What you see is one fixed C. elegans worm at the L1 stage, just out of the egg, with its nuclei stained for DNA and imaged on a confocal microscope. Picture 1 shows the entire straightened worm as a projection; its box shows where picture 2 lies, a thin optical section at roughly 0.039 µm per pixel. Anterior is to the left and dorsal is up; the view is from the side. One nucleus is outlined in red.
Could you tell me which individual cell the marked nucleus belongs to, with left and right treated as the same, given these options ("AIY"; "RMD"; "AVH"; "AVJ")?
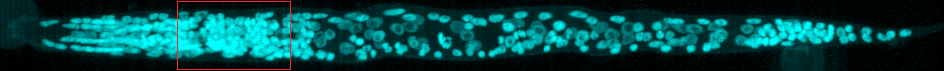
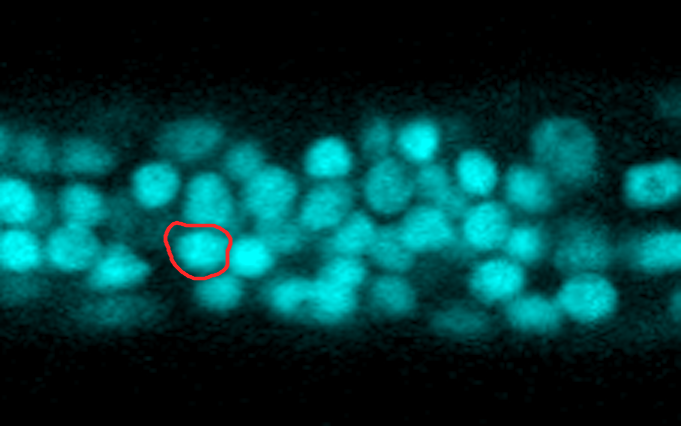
RMD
